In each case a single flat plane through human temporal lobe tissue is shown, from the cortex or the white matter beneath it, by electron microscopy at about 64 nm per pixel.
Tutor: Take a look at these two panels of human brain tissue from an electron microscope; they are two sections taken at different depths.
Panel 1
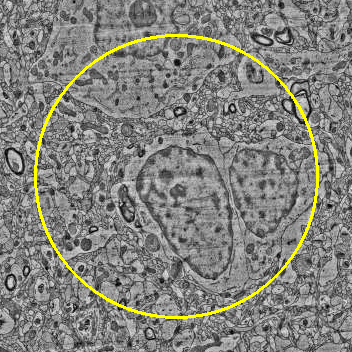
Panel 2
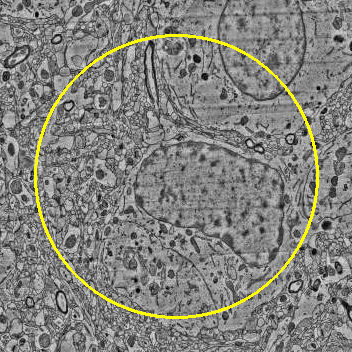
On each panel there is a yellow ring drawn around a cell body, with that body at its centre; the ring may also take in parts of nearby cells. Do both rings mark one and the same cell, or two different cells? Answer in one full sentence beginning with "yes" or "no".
No, the two marked cells are different cells.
